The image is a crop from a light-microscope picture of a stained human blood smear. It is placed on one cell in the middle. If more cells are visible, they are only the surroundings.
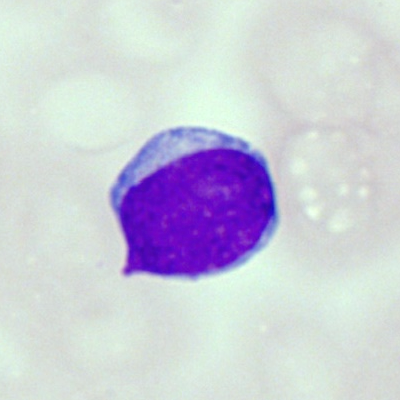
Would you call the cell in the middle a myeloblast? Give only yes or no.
yes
